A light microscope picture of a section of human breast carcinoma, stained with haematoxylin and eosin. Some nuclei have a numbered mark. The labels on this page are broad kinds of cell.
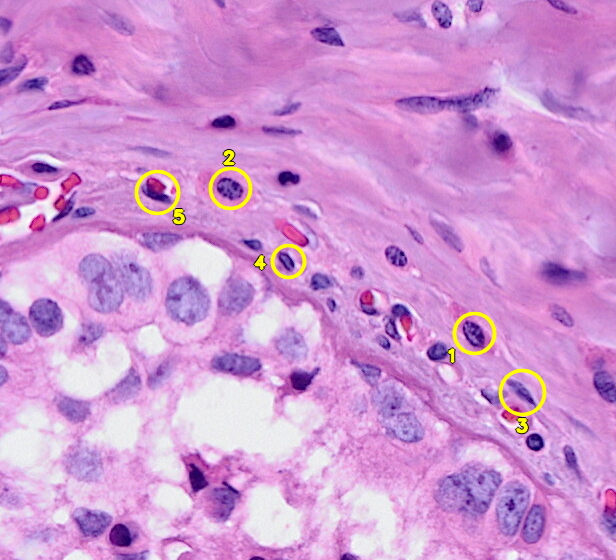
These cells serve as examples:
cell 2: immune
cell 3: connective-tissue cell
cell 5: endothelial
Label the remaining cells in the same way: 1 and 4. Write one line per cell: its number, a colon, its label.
1: immune
4: endothelial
